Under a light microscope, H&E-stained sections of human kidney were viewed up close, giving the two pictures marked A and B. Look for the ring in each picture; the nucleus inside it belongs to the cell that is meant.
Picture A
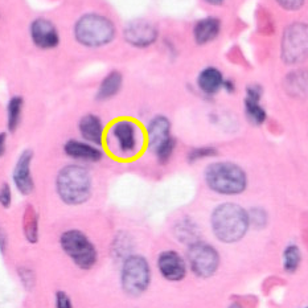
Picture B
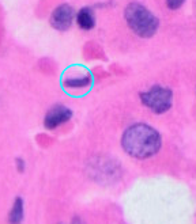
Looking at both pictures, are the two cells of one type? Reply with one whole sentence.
No, they differ: the cell is a collecting duct cell in picture A and an endothelial cell in picture B.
